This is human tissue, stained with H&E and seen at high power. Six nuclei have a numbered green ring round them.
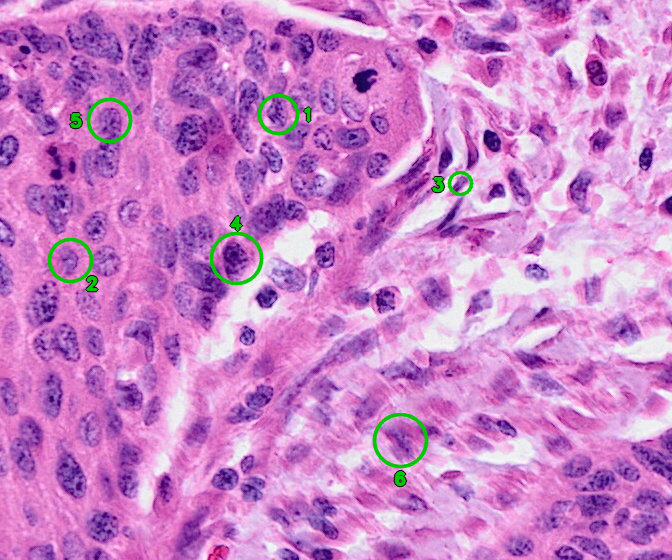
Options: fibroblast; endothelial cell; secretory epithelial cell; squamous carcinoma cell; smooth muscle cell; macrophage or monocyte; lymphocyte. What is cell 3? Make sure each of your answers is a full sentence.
The cell carrying label 3 is identified as a fibroblast.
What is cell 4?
To a squamous carcinoma cell belongs the nucleus marked 4.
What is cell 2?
Cell 2, among those numbered, is a squamous carcinoma cell.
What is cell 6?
The cell that is numbered 6 is a fibroblast.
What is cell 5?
The cell tagged with 5 in this tissue section is a squamous carcinoma cell.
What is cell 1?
The cell indicated by marker 1 is a squamous carcinoma cell in this section.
